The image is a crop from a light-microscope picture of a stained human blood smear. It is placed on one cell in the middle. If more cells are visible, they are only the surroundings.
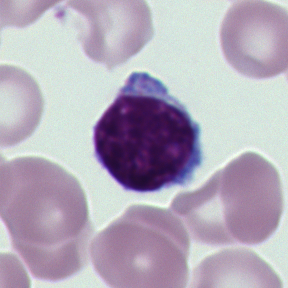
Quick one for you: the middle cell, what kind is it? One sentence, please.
For this crop, the cell in the middle is a lymphocyte.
